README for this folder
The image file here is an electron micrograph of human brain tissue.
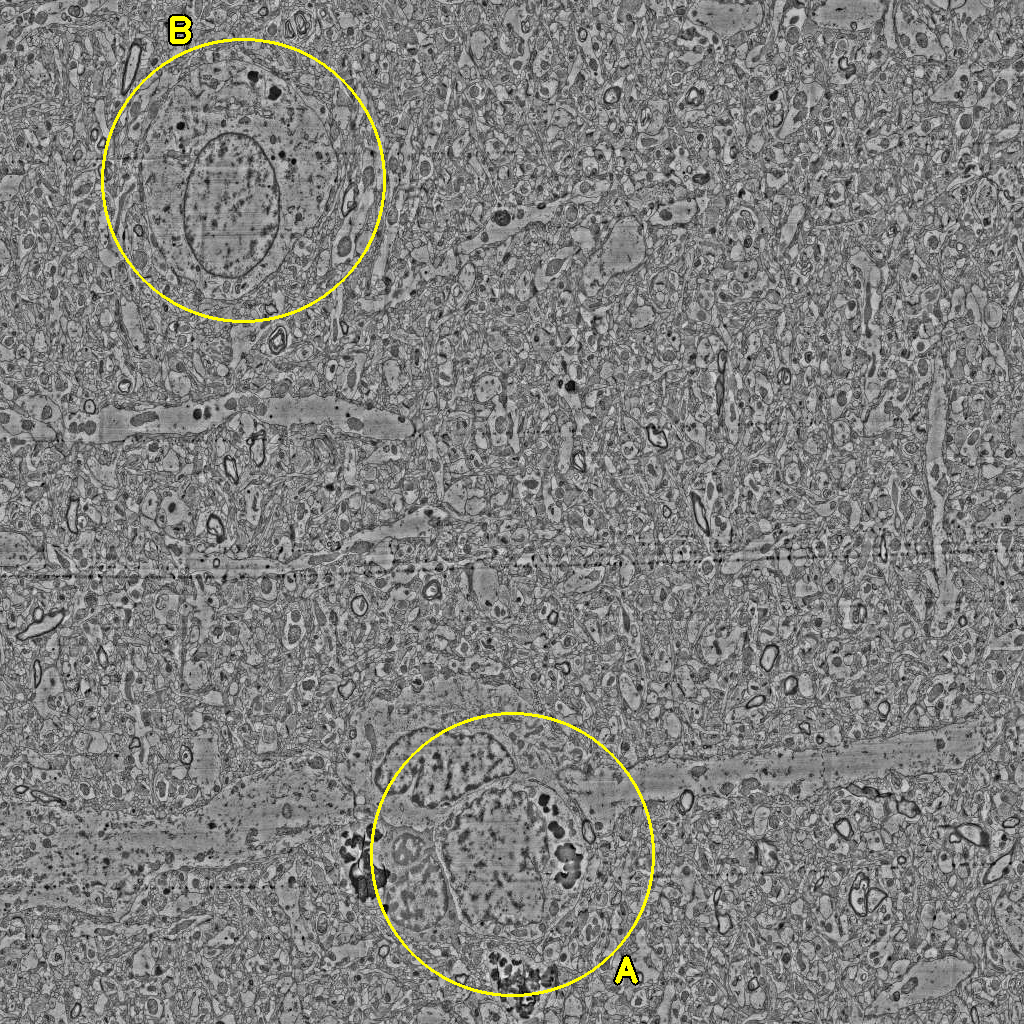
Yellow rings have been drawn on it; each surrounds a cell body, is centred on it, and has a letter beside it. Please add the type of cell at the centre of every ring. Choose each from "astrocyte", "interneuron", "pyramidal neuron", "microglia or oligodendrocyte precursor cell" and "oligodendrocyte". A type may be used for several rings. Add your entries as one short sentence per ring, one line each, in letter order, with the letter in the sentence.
Ring A marks the cell body of an interneuron.
Ring B marks the cell body of a pyramidal neuron.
